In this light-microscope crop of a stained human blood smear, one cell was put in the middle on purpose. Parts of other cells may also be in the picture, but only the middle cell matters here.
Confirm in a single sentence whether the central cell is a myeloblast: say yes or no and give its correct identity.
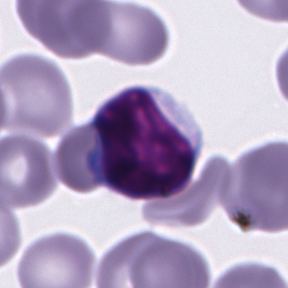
No, the cell in the middle of the field is a typical lymphocyte, not a myeloblast as suggested.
